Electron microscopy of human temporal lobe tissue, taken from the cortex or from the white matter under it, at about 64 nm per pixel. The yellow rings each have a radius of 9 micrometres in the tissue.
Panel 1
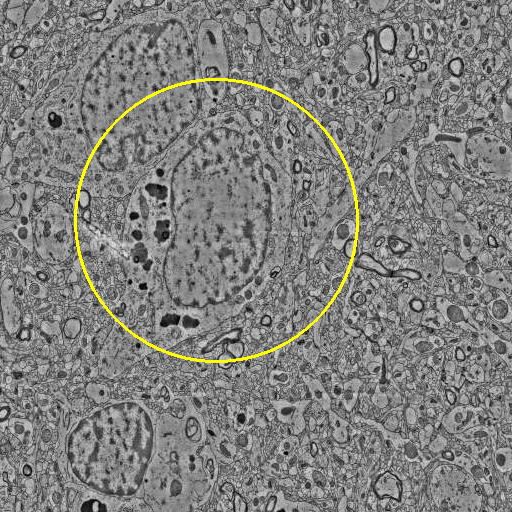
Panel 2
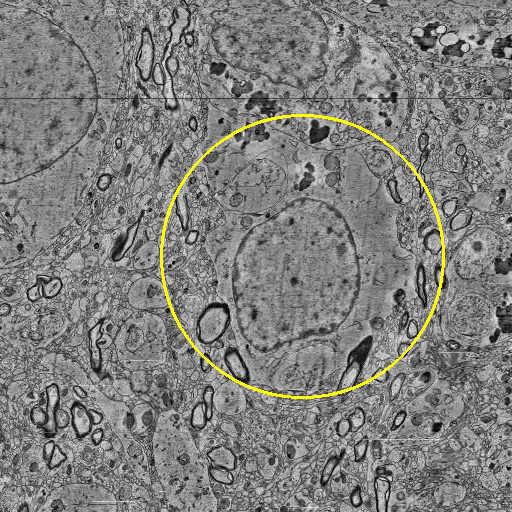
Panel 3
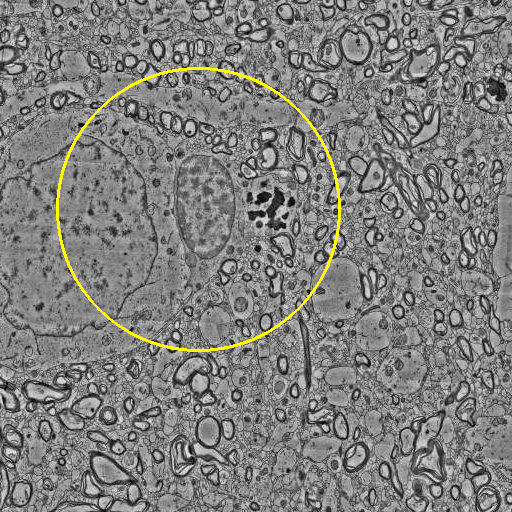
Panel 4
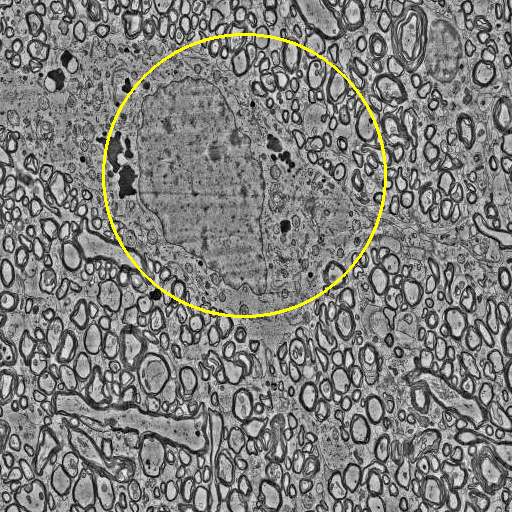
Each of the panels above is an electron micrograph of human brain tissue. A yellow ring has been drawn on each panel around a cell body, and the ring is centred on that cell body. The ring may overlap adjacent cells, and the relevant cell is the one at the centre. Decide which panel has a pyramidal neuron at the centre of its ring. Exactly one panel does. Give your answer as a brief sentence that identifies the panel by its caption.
Panel 4 is the one with it at the centre of the ring.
